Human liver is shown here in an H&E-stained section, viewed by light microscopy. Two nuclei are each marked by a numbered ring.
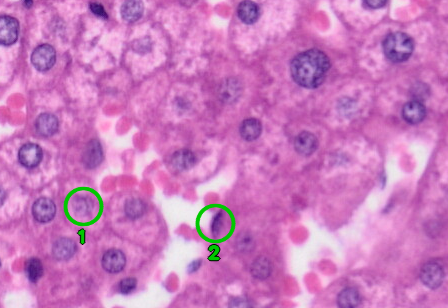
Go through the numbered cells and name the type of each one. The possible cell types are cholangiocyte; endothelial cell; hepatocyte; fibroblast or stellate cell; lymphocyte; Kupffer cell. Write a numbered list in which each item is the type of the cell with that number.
1. hepatocyte
2. fibroblast or stellate cell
